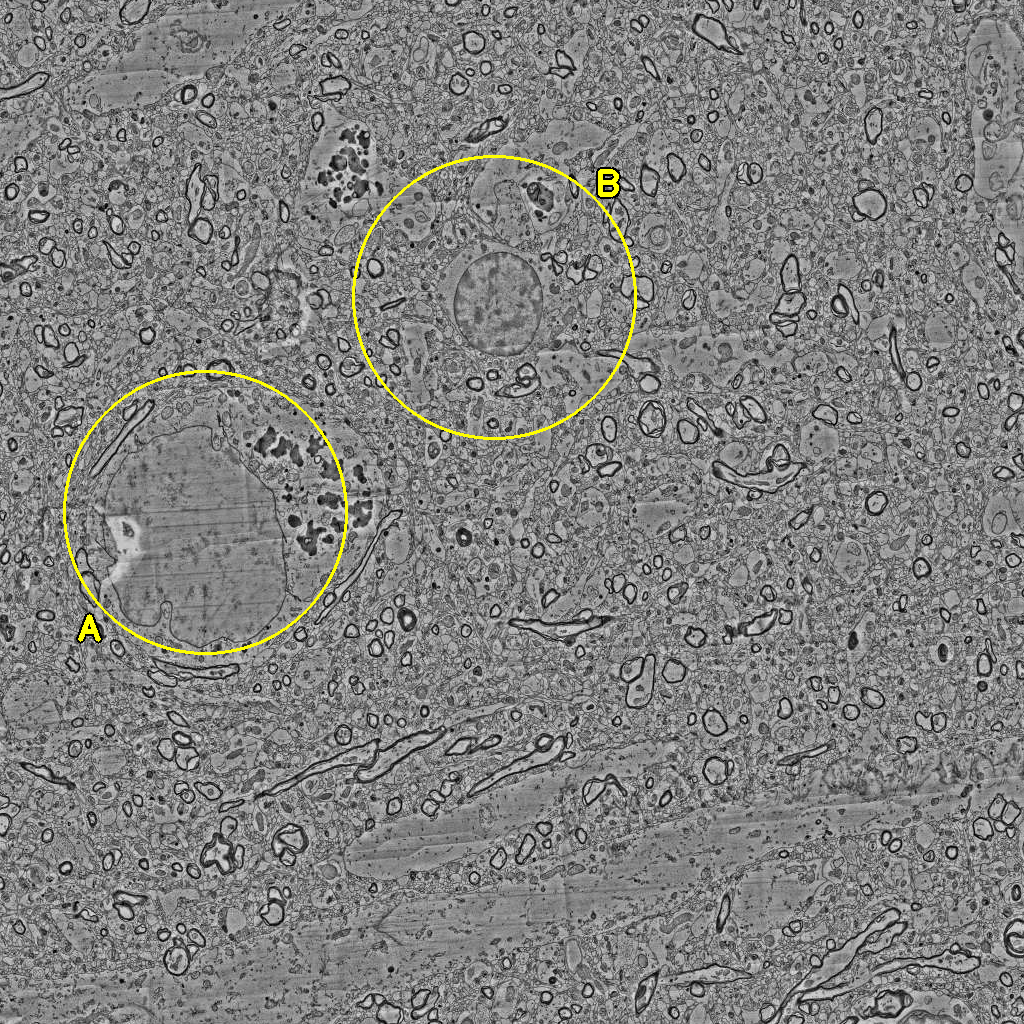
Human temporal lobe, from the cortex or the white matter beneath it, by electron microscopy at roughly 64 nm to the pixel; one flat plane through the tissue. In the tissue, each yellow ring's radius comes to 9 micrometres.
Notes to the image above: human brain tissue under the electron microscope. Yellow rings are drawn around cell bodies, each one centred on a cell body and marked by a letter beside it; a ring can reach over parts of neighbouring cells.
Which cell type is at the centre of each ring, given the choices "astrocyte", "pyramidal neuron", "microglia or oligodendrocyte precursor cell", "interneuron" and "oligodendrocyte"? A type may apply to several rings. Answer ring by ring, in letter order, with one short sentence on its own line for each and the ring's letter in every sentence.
Inside ring A, at its centre, is a pyramidal neuron.
Inside ring B, at its centre, is an oligodendrocyte.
